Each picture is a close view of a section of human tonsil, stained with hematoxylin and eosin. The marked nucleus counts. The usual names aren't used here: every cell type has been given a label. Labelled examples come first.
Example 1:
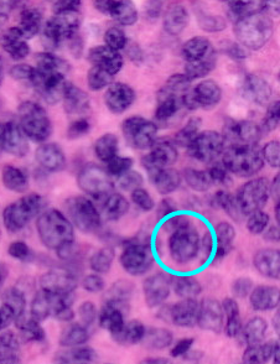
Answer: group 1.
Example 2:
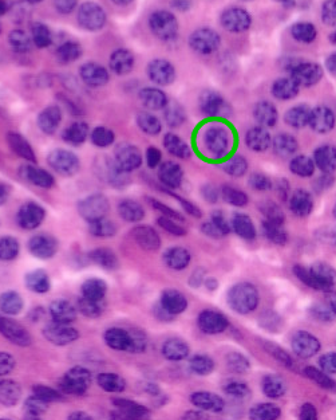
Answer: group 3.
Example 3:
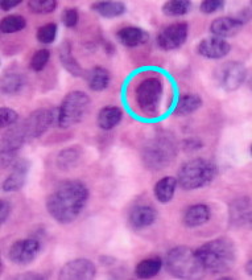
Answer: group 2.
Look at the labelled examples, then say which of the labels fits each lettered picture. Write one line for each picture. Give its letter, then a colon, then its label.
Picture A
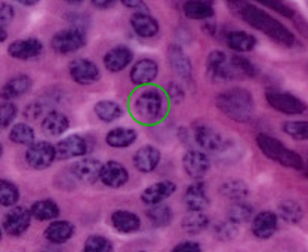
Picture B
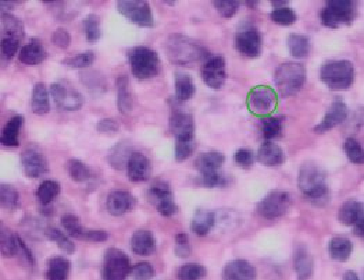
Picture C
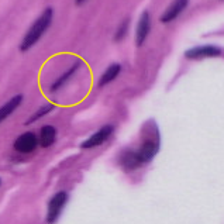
A: group 3.
B: group 1.
C: group 2.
